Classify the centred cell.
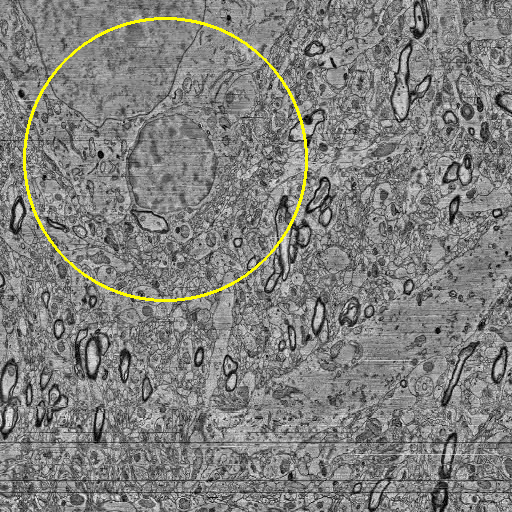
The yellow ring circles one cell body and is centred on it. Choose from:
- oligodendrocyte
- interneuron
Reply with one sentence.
The ring is centred on an oligodendrocyte.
